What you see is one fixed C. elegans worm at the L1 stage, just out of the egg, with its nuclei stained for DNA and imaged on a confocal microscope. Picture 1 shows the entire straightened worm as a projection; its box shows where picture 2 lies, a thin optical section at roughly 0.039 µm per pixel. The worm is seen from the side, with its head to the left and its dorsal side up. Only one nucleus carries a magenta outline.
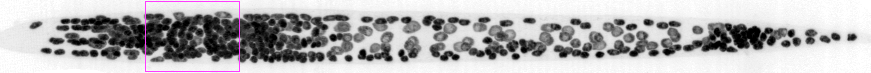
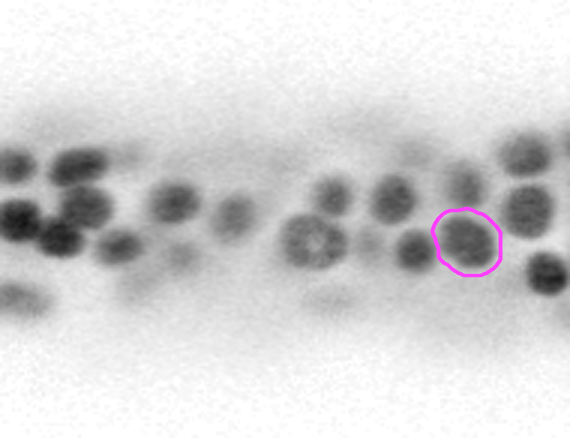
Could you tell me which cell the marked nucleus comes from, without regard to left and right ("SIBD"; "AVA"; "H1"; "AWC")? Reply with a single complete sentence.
The marked cell is AWC, a neuron.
